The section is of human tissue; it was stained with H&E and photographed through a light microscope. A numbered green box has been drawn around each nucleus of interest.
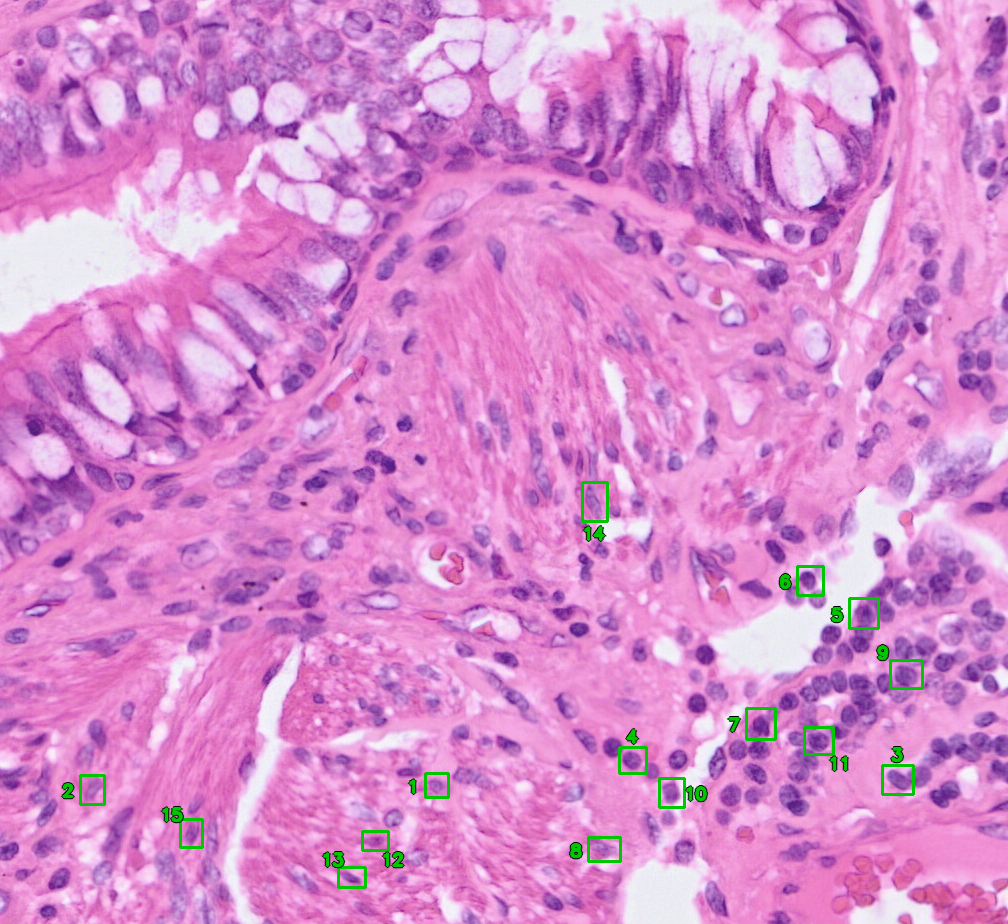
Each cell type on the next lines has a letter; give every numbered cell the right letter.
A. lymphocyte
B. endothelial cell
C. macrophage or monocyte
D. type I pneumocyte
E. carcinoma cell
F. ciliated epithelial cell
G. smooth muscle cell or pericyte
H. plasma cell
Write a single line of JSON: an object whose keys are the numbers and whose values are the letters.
{"1": "G", "2": "G", "3": "A", "4": "A", "5": "A", "6": "A", "7": "A", "8": "G", "9": "A", "10": "A", "11": "A", "12": "G", "13": "G", "14": "G", "15": "G"}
